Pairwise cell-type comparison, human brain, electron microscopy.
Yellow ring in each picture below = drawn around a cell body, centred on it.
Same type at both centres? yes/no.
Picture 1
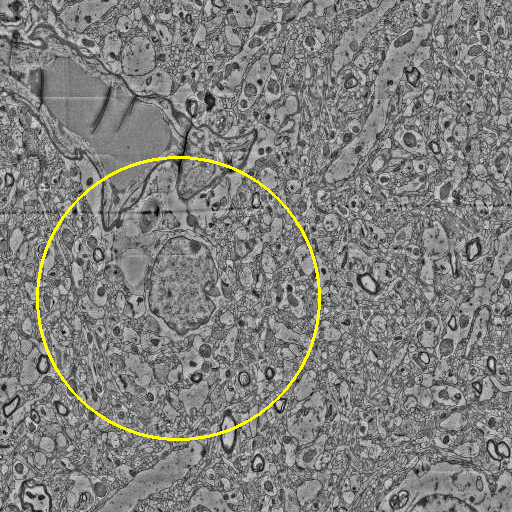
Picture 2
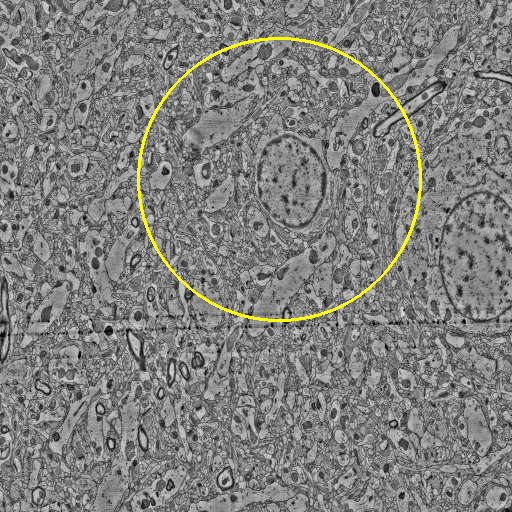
yes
